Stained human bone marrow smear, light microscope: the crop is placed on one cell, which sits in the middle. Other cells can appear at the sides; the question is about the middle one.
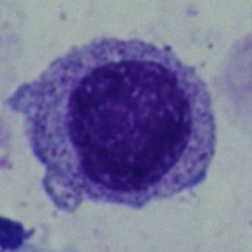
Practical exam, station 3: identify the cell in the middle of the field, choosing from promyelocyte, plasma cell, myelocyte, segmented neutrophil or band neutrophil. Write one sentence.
What sits at the centre of this crop is a myelocyte.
